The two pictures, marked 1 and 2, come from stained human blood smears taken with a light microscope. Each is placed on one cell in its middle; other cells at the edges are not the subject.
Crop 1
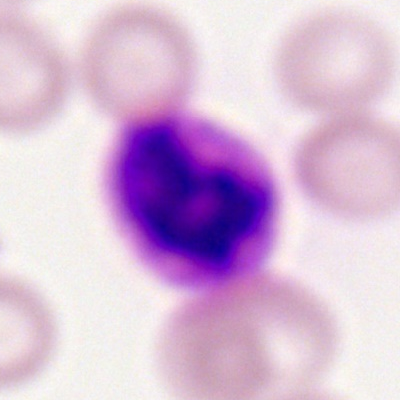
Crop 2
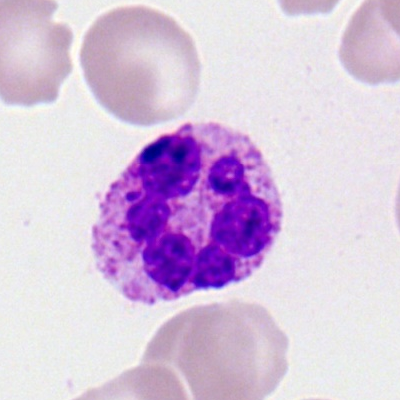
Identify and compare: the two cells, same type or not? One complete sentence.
Yes, in the case of both crops, the central cells are basophils.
